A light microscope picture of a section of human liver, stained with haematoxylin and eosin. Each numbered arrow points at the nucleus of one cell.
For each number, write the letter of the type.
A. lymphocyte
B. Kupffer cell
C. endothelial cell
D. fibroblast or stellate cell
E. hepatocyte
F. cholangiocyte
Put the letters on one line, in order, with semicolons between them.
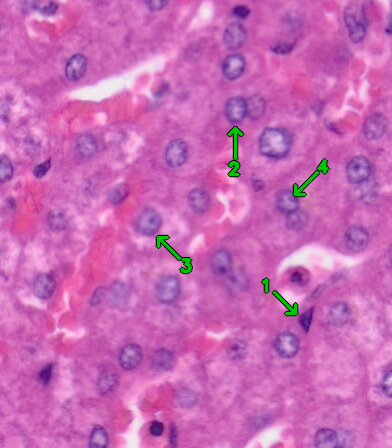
D; E; E; E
